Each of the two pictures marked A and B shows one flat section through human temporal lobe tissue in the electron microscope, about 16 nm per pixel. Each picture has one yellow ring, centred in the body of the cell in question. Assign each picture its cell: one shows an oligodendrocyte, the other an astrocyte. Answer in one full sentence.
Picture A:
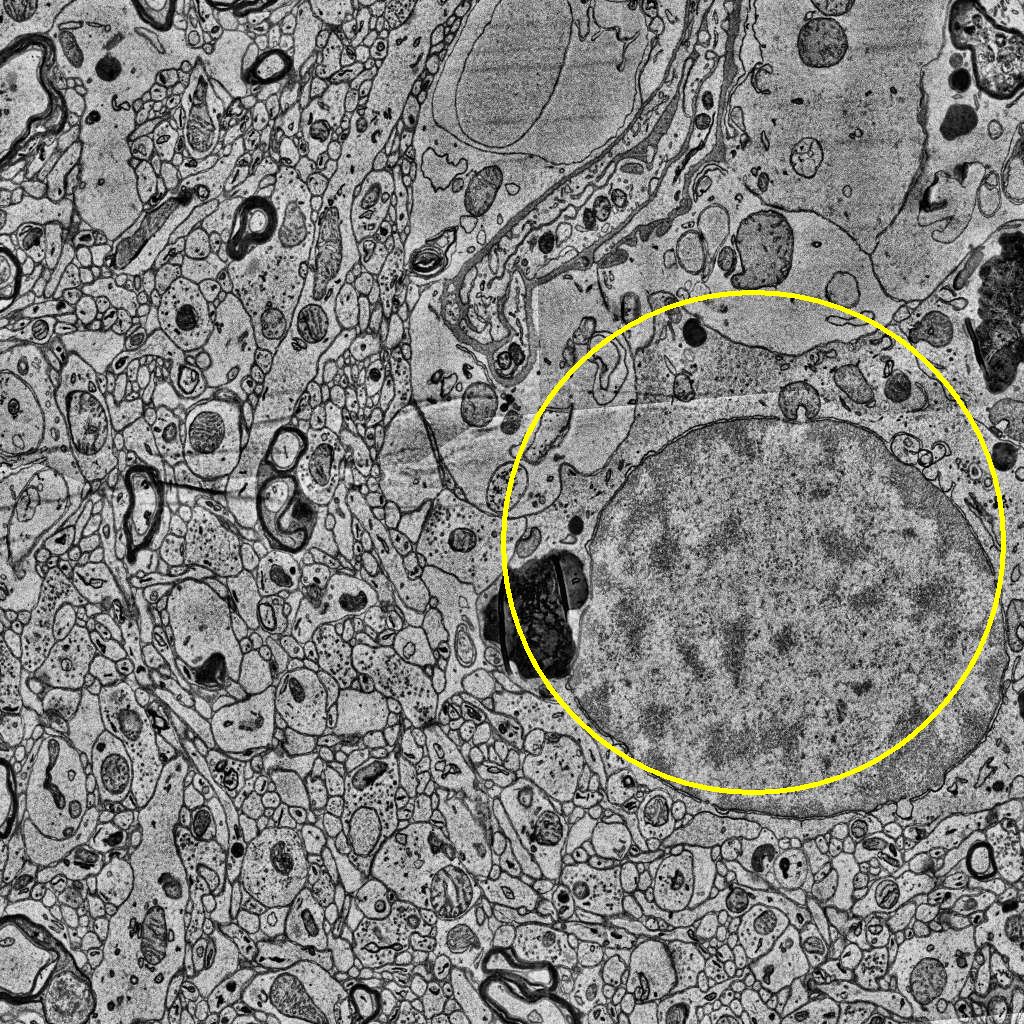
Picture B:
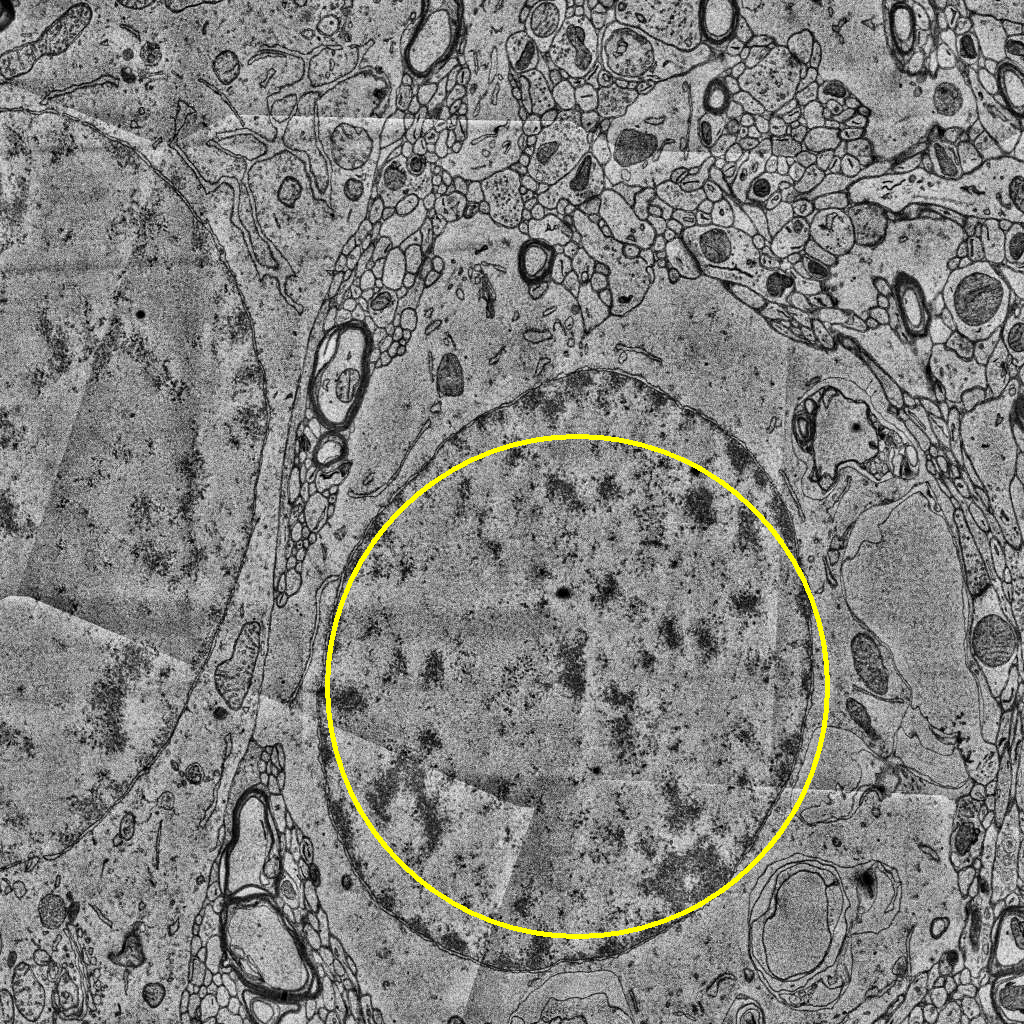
Picture A shows an oligodendrocyte and picture B shows an astrocyte.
